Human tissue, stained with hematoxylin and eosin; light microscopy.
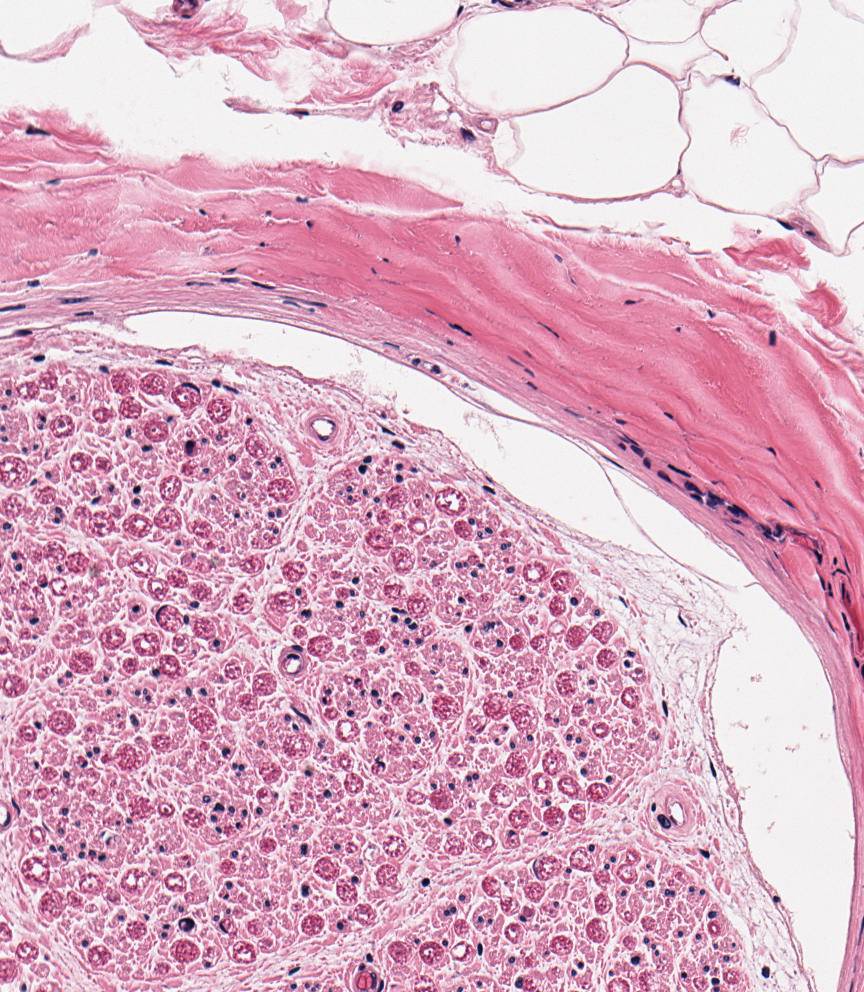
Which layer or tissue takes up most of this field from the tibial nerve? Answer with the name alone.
nerve fascicle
